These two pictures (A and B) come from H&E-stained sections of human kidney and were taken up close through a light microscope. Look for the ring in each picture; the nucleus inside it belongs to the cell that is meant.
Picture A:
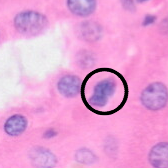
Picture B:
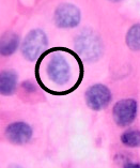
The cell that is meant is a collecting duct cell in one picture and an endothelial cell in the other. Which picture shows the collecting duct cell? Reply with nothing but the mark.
B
